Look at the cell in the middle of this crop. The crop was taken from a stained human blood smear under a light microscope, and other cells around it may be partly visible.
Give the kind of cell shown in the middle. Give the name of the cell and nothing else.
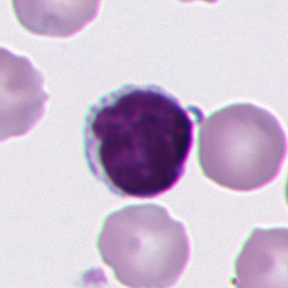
typical lymphocyte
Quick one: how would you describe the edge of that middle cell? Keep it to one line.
Ragged or projecting, the border of this cell departs from a smooth contour.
